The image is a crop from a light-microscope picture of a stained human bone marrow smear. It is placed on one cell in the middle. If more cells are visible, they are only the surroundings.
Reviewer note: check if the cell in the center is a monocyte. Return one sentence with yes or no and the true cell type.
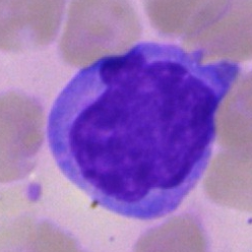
Yes, the cell shown centrally is a monocyte.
